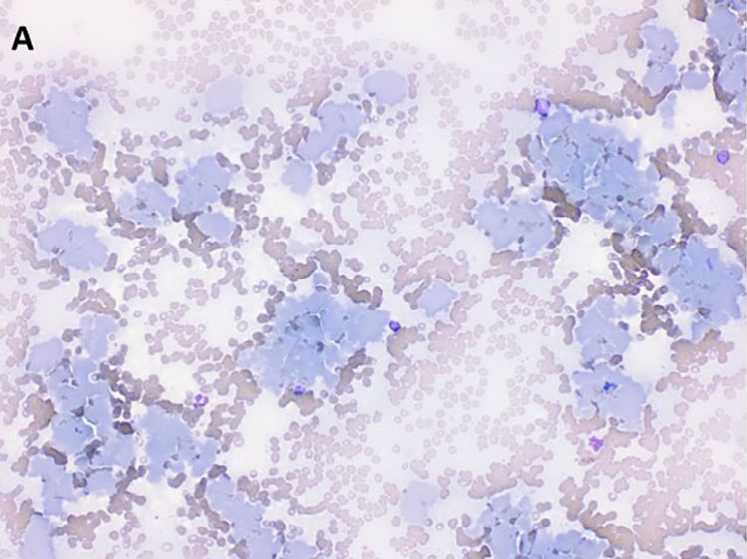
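At low magnification the blood smear shows numerous pale blue, cloud-like clumps scattered among densely packed red blood cells. The clumps vary in size and outline, have no internal structure or nuclei, and red cells pile up and overlap along their edges. Only a few small leukocytes with purple nuclei are seen between them, far smaller than the clumps. The distribution is widespread across the whole field rather than confined to one area. These are aggregates of amorphous basophilic material distributed throughout the smear.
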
